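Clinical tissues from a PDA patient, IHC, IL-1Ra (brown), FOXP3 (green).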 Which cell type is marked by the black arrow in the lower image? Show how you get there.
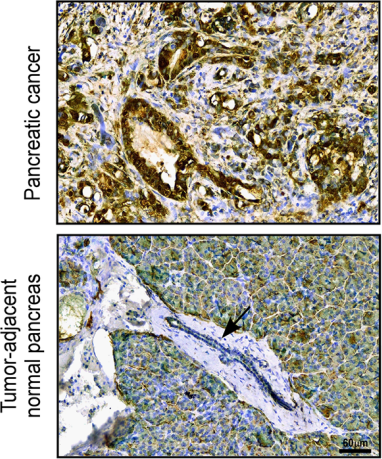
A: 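In the lower image the arrow points at a thin, elongated tube lined by a single row of cells. The tube lies in a band of pale, loose connective tissue. The tube is surrounded by densely packed glandular parenchyma.
Answer: epithelial cells of a pancreatic duct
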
